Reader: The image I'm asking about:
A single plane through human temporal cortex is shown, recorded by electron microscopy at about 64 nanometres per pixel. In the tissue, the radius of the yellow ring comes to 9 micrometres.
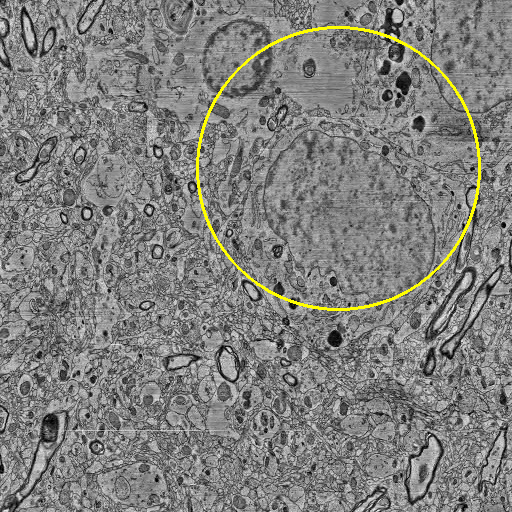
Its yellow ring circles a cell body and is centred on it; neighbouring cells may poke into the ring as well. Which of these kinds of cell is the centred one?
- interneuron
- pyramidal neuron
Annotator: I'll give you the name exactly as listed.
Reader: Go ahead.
interneuron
